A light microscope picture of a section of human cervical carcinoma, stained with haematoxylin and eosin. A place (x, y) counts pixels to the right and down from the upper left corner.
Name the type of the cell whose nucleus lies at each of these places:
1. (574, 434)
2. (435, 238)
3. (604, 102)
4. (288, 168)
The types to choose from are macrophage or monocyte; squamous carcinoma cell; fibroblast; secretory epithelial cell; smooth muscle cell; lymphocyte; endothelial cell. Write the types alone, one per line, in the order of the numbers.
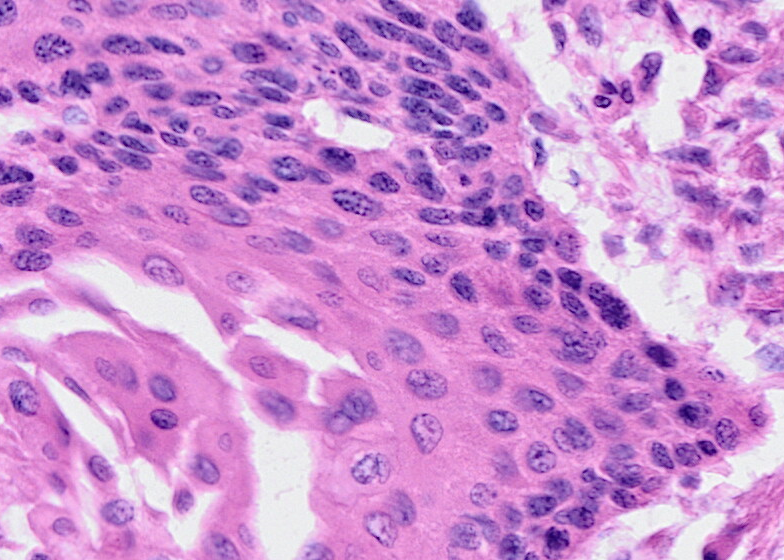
squamous carcinoma cell
squamous carcinoma cell
lymphocyte
squamous carcinoma cell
